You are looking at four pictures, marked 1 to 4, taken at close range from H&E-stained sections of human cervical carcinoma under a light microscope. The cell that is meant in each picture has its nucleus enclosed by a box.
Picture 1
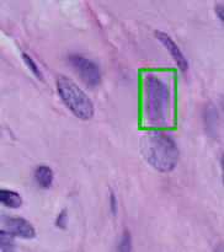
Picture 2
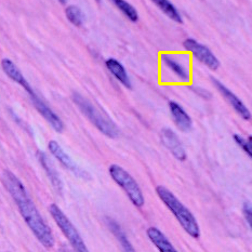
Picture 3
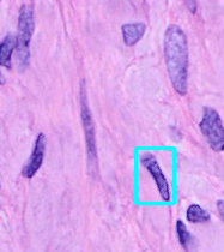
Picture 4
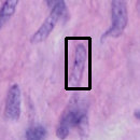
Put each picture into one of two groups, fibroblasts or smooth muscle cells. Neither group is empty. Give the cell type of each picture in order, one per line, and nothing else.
fibroblast
fibroblast
fibroblast
smooth muscle cell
